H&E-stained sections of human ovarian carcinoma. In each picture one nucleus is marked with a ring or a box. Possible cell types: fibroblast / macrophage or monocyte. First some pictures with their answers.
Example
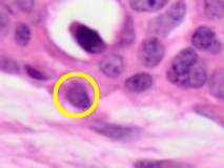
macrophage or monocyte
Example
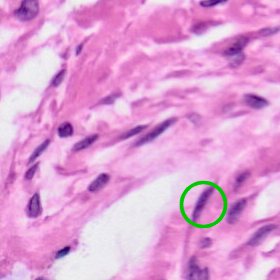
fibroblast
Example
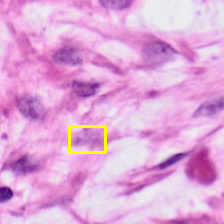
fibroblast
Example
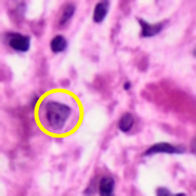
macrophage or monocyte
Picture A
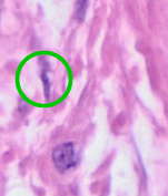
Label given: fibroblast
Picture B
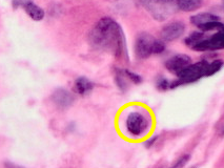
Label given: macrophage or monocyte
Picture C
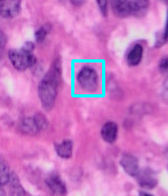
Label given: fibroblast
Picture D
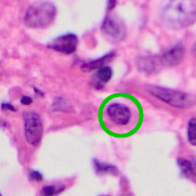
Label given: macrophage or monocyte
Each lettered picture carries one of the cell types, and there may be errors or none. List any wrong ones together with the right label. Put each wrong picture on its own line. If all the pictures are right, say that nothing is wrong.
C is labelled fibroblast; correct label: macrophage or monocyte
